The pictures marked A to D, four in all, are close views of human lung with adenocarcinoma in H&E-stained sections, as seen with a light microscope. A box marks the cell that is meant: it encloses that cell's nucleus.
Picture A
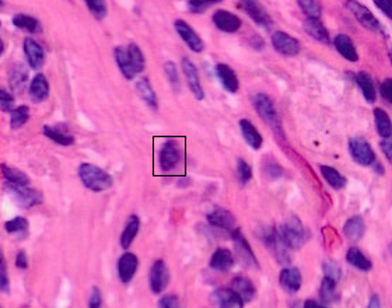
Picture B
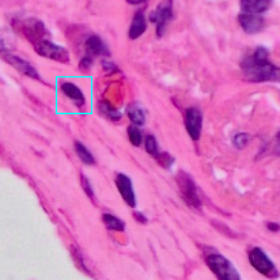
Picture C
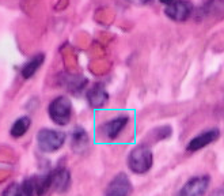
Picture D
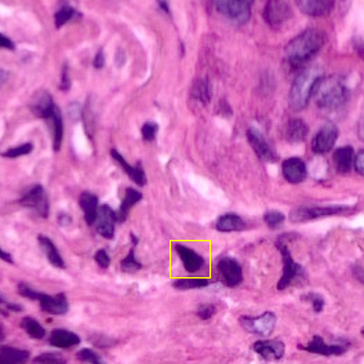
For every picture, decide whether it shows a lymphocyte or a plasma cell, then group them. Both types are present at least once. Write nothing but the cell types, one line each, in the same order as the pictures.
plasma cell
plasma cell
lymphocyte
plasma cell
